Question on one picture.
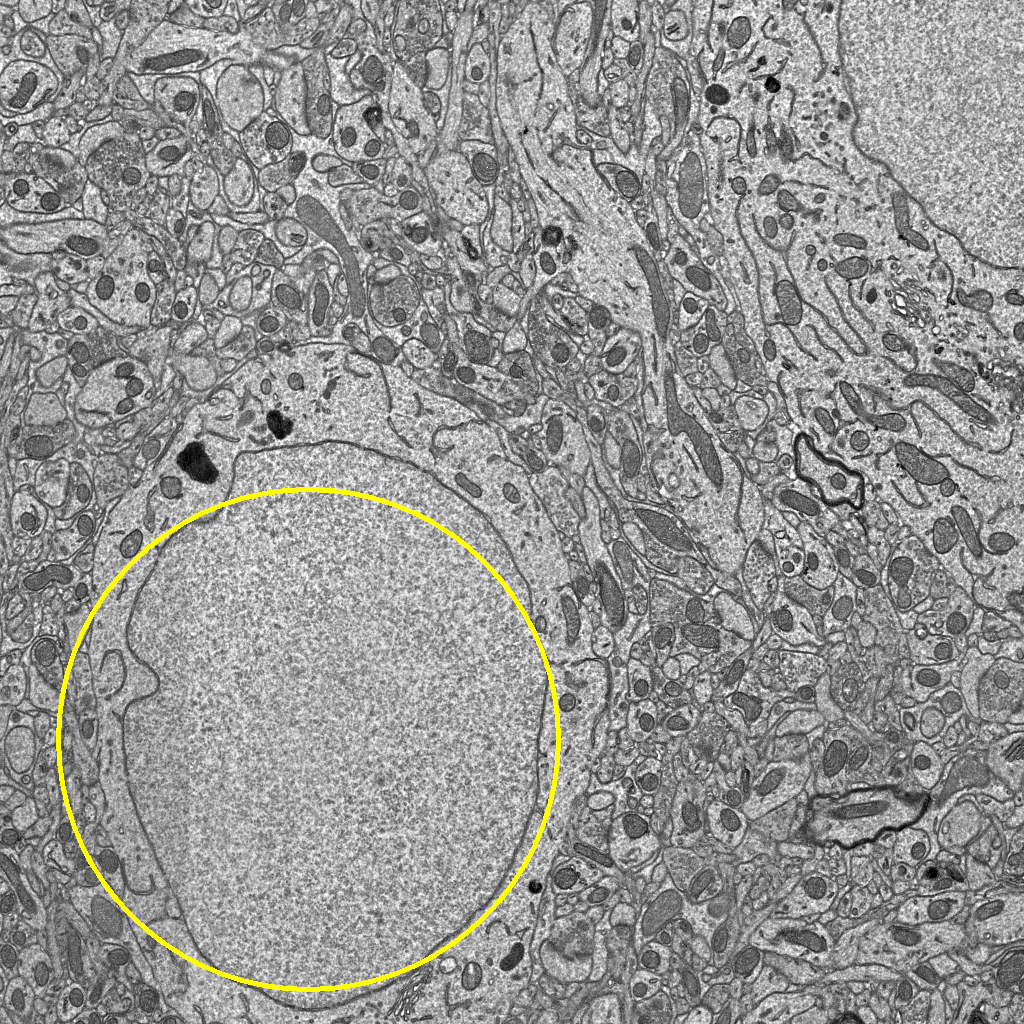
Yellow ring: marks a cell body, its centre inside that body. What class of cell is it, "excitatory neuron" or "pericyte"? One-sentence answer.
This is an excitatory neuron, the cell at the ring's centre.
